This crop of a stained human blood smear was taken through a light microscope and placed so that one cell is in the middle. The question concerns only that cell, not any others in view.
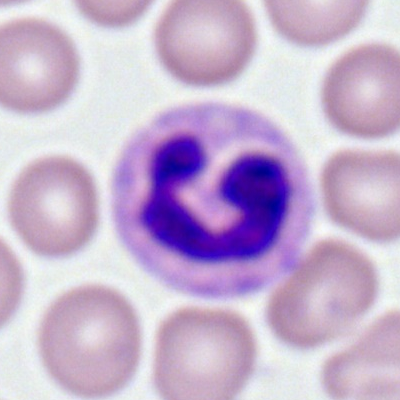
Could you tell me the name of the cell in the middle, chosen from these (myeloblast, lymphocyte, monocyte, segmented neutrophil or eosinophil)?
segmented neutrophil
